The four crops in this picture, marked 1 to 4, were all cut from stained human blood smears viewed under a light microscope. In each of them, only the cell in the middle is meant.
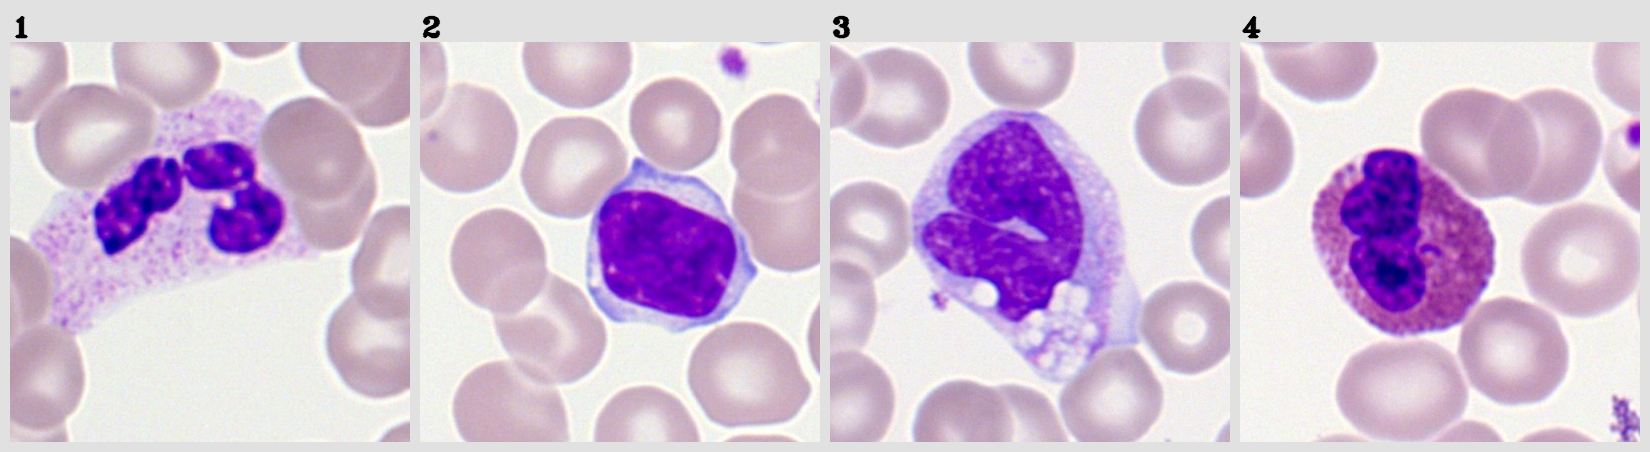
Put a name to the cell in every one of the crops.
1: segmented neutrophil
2: lymphocyte
3: monocyte
4: eosinophil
